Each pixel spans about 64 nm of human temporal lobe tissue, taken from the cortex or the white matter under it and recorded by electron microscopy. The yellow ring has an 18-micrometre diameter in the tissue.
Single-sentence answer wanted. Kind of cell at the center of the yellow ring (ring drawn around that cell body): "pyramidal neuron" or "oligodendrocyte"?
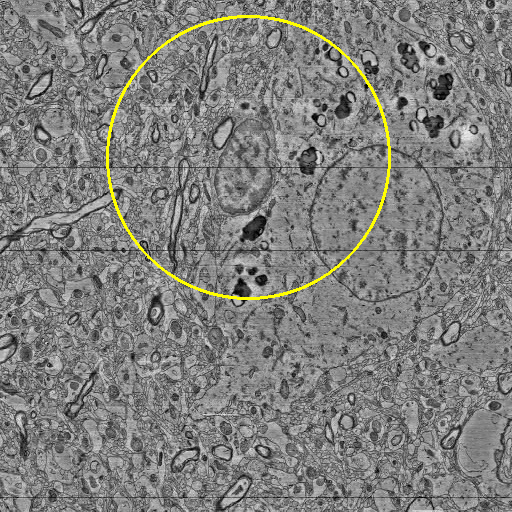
The cell centered in the ring is an oligodendrocyte.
